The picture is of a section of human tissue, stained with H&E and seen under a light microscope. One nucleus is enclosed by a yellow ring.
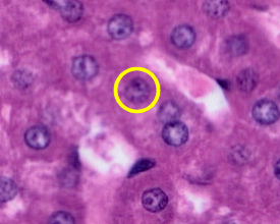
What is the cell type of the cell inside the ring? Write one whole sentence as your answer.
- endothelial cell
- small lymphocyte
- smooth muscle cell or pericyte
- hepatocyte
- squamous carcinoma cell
In the context of this tissue, the cell inside the ring is a hepatocyte.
